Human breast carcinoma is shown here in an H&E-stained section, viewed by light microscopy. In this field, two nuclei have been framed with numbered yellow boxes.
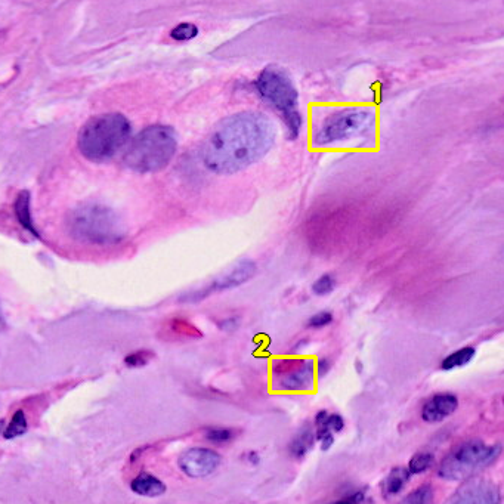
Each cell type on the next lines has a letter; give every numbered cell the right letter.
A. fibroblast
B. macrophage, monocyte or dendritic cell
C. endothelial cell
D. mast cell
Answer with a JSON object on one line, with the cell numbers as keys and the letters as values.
{"1": "A", "2": "C"}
